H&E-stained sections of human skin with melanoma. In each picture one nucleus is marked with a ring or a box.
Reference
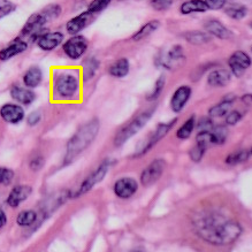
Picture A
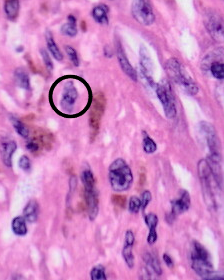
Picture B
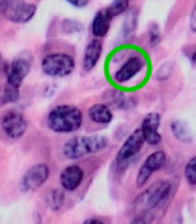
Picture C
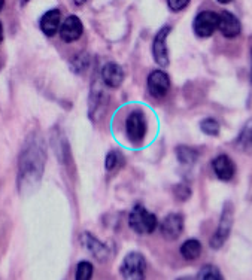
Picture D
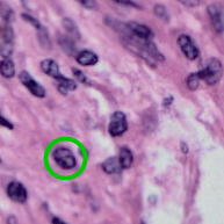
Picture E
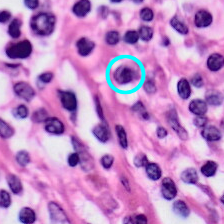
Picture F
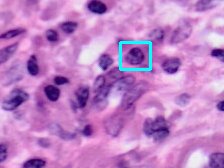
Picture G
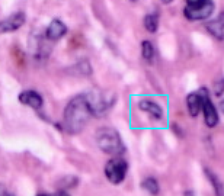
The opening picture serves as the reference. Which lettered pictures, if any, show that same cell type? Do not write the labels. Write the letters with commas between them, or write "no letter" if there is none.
A, E, G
